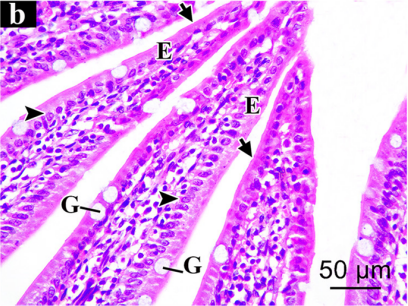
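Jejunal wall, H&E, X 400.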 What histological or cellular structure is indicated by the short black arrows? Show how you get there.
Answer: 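A thin, continuous, bright pink band lines the luminal surface of the epithelium. That points to this answer: brush borders.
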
